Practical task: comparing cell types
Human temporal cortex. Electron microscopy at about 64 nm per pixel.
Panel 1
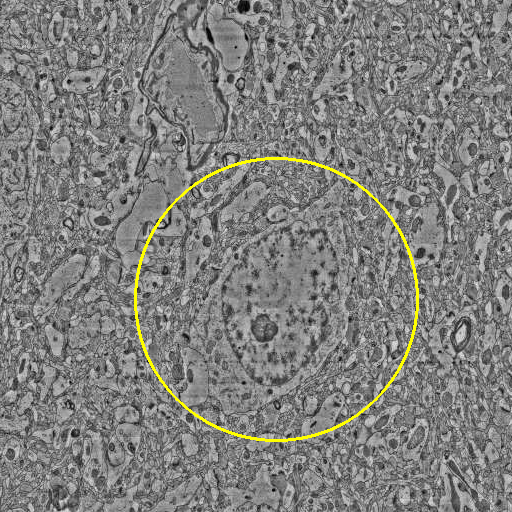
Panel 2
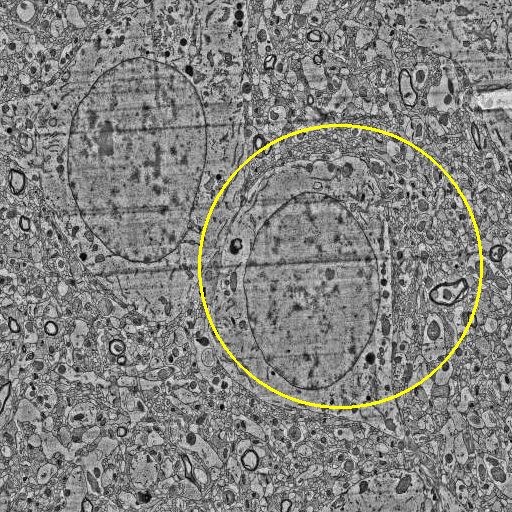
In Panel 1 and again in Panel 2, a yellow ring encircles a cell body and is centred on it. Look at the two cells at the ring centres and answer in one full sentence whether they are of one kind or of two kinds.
The two cells sitting at the ring centres of Panels 1 and 2 are of two kinds.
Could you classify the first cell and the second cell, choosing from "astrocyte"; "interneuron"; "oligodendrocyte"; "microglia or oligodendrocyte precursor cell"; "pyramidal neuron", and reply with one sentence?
The second cell is a pyramidal neuron, while the first is an interneuron.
